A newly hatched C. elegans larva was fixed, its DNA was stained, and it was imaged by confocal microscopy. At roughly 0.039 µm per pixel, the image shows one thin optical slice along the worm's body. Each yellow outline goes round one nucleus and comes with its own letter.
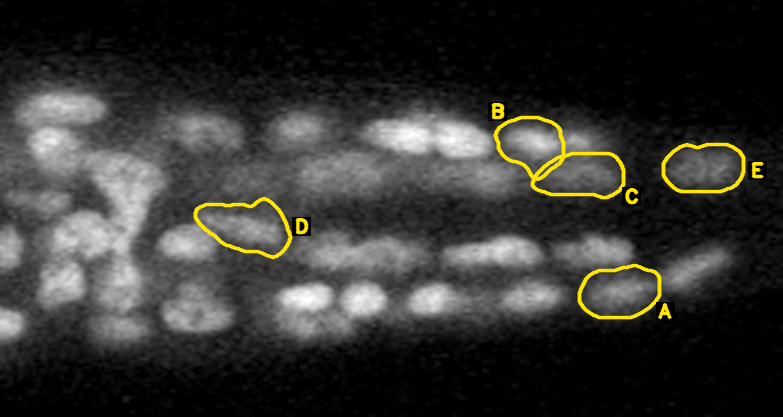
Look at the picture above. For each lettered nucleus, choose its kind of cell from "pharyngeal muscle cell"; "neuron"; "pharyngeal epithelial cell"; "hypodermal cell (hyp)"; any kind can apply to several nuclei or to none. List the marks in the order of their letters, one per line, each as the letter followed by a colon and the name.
A: hypodermal cell (hyp)
B: hypodermal cell (hyp)
C: pharyngeal epithelial cell
D: pharyngeal muscle cell
E: hypodermal cell (hyp)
